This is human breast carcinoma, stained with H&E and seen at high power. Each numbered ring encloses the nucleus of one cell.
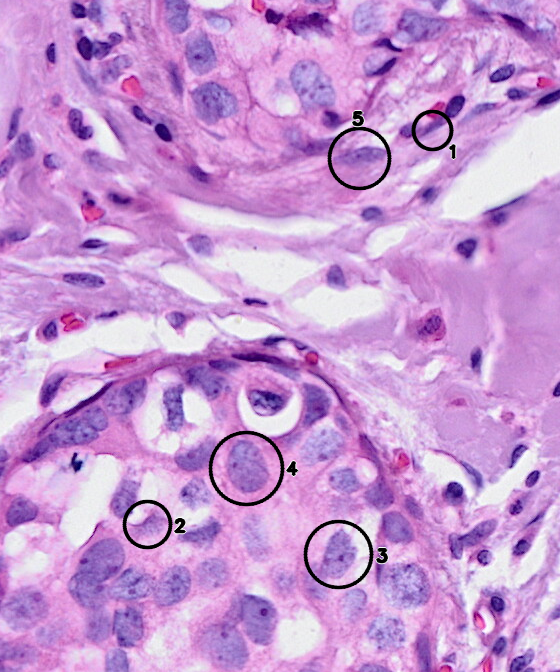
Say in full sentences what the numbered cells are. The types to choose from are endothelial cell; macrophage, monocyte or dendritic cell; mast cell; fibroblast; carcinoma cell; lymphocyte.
Cell 1 is an endothelial cell, cell 2 is a carcinoma cell, cell 3 is a carcinoma cell, cell 4 is a carcinoma cell and cell 5 is a fibroblast.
